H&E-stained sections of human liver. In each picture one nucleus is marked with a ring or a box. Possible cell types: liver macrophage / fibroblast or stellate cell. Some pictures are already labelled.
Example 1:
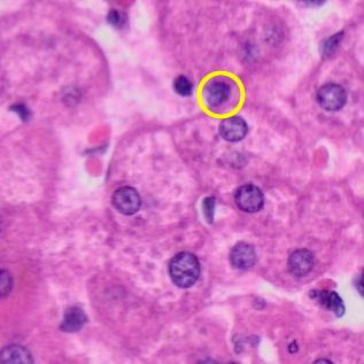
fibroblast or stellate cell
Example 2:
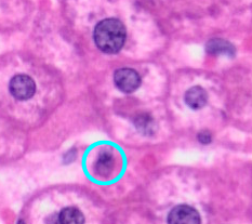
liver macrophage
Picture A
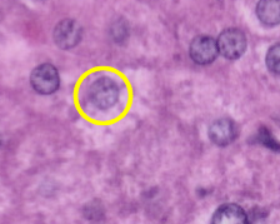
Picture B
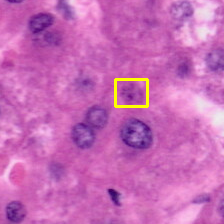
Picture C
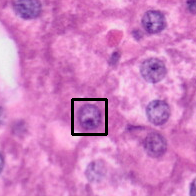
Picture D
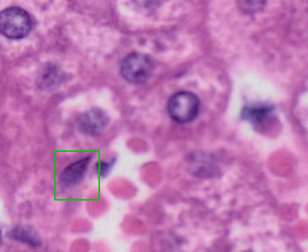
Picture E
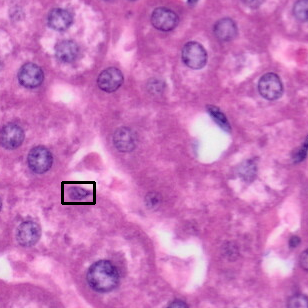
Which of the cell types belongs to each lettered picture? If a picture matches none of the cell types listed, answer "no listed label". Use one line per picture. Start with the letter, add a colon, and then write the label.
A: no listed label
B: no listed label
C: no listed label
D: fibroblast or stellate cell
E: fibroblast or stellate cell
